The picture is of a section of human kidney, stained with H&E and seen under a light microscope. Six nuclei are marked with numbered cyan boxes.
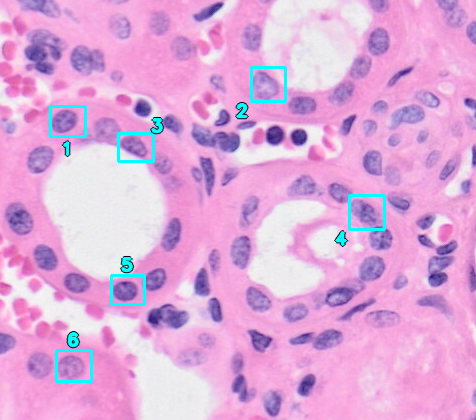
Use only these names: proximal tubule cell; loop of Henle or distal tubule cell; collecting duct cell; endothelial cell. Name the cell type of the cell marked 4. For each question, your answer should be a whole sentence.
The cell that bears the number 4 is a collecting duct cell.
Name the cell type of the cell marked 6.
The marked cell bearing number 6 is a proximal tubule cell.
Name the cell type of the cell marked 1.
The nucleus labelled 1 belongs to a collecting duct cell.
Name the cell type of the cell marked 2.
Here the cell numbered 2 is a loop of Henle or distal tubule cell.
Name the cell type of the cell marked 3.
Number 3 among the marked cells is a loop of Henle or distal tubule cell.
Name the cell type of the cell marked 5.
The correct label for cell 5 is a collecting duct cell.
